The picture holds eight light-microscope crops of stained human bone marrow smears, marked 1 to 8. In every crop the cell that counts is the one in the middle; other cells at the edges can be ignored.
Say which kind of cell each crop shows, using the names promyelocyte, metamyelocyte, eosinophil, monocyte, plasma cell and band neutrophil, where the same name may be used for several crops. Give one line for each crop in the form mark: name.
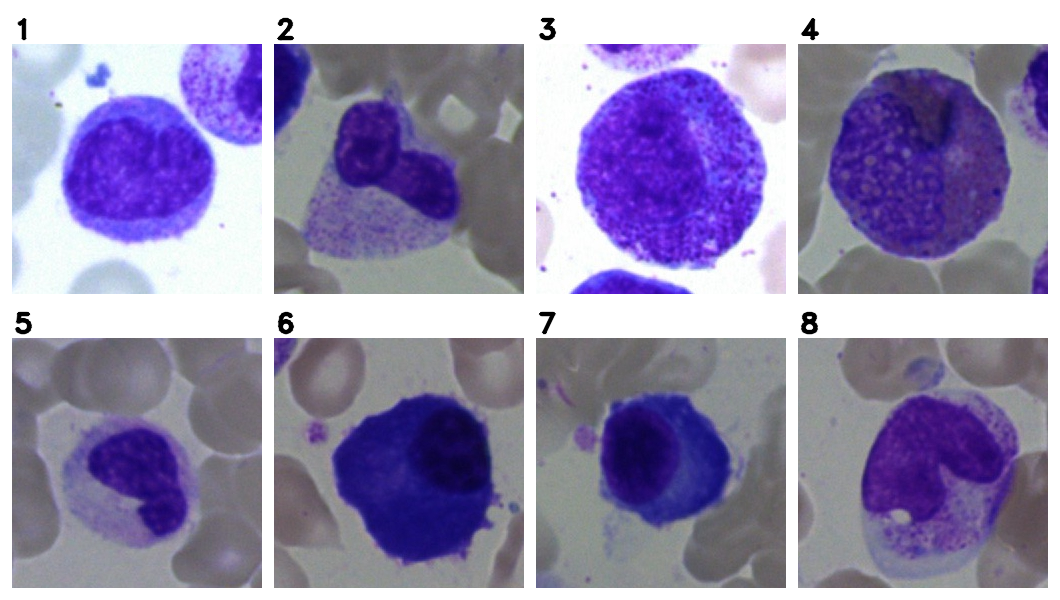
1: monocyte
2: band neutrophil
3: promyelocyte
4: eosinophil
5: band neutrophil
6: plasma cell
7: plasma cell
8: metamyelocyte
